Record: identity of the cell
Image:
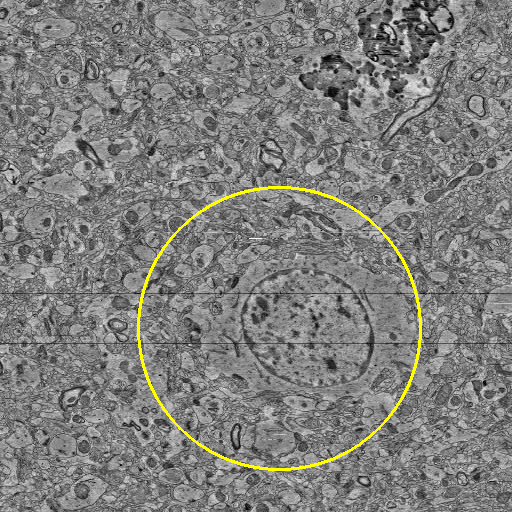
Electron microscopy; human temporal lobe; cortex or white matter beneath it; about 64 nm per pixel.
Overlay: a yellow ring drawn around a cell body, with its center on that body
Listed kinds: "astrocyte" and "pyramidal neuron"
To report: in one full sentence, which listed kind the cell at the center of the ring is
In the image, the cell body at the ring's center belongs to an astrocyte.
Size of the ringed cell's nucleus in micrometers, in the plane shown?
In this plane, about 9 micrometres in length and 7 in width.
